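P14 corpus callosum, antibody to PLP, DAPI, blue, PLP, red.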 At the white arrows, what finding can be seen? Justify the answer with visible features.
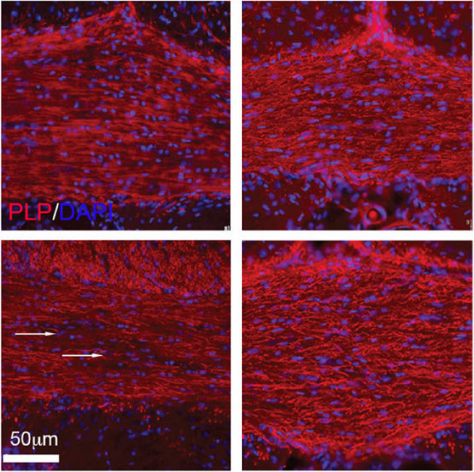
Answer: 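The white arrows lie in one of the four fields, where the red fibrous strands are sparser and darker gaps run between them. The other fields show dense, continuous red strands.
Answer: patchy myelin loss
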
